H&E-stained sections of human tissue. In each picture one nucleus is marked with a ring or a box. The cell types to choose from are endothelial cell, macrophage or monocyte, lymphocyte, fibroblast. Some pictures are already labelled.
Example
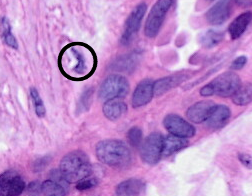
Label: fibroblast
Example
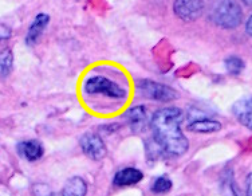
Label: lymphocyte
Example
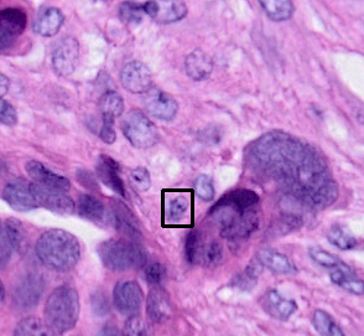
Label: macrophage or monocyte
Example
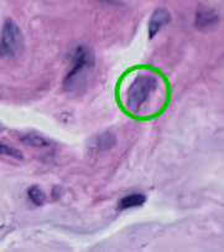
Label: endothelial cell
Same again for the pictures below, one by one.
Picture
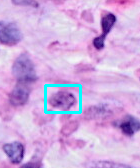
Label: fibroblast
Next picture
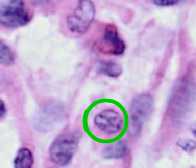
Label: macrophage or monocyte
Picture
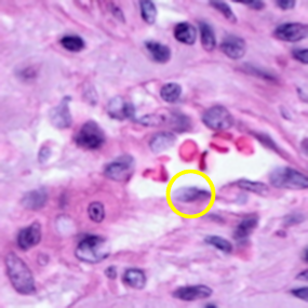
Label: endothelial cell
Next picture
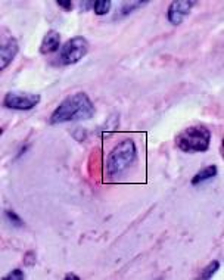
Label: endothelial cell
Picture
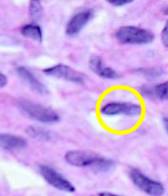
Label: fibroblast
